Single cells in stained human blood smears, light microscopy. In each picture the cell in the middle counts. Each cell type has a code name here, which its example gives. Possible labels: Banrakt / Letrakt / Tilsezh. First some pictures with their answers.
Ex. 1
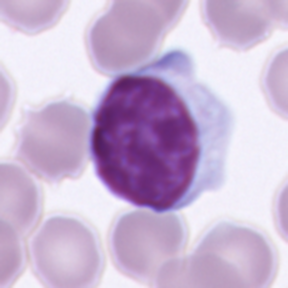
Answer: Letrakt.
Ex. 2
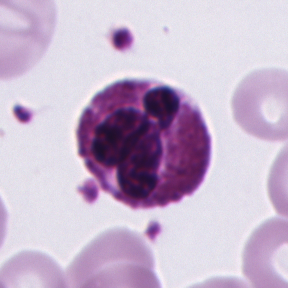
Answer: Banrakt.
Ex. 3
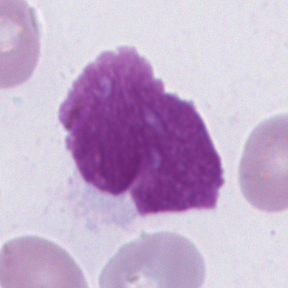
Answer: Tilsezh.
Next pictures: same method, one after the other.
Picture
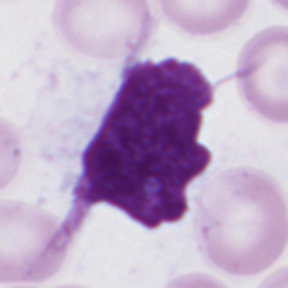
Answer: Tilsezh.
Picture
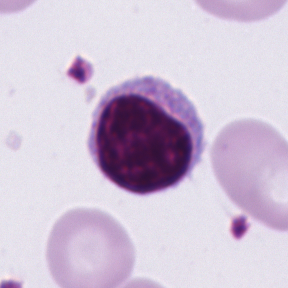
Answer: Letrakt.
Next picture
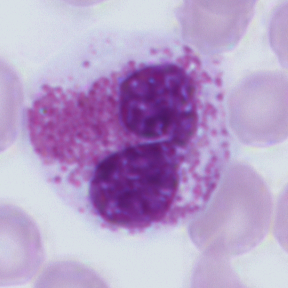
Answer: Banrakt.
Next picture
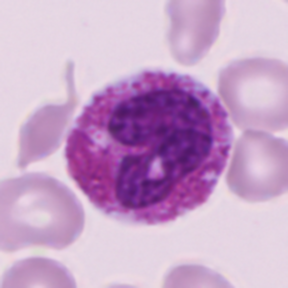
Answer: Banrakt.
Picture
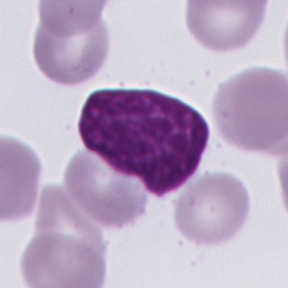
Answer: Tilsezh.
